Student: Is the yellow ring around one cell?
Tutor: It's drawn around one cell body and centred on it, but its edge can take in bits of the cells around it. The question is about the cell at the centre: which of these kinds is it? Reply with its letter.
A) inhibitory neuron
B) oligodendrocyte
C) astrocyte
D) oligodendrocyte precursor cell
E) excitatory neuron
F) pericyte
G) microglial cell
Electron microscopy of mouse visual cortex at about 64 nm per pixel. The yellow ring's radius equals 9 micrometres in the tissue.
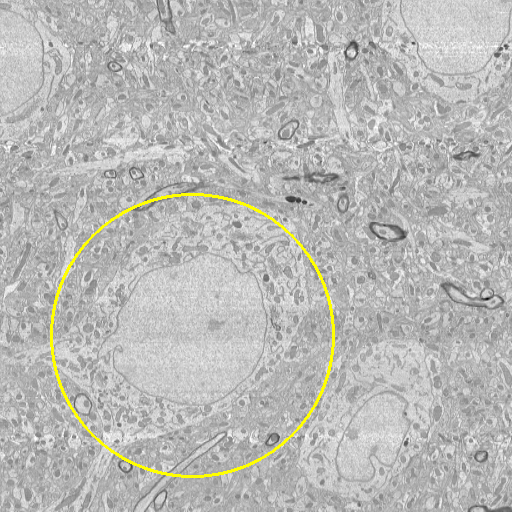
A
